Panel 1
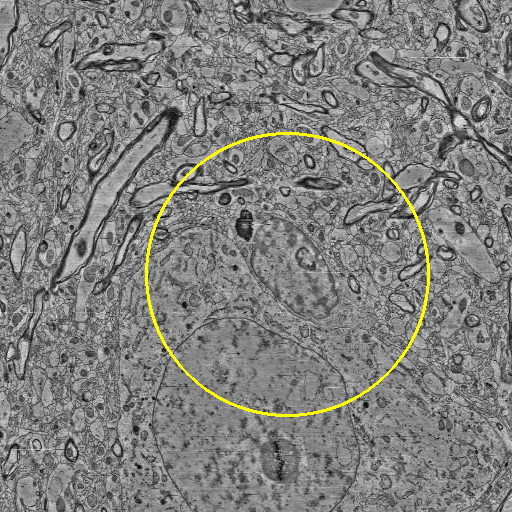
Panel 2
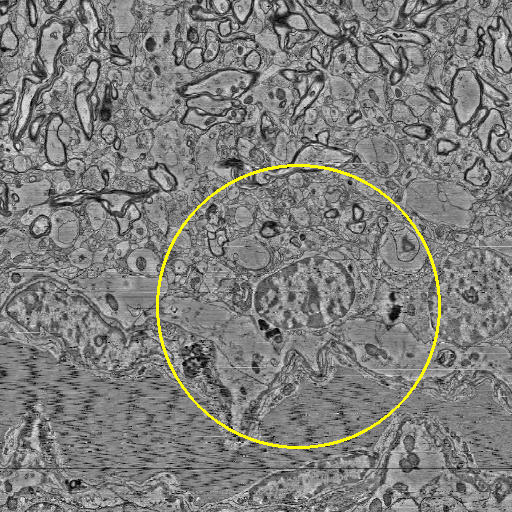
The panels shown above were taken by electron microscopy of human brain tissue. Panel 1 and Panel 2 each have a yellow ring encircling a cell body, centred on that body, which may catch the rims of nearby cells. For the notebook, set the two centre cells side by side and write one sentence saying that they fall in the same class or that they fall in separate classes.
The centred cells of Panel 1 and Panel 2 fall in separate classes.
